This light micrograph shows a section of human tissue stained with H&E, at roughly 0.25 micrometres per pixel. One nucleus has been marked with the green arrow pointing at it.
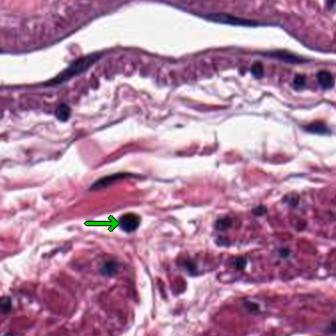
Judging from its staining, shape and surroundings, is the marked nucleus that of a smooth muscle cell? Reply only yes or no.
no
